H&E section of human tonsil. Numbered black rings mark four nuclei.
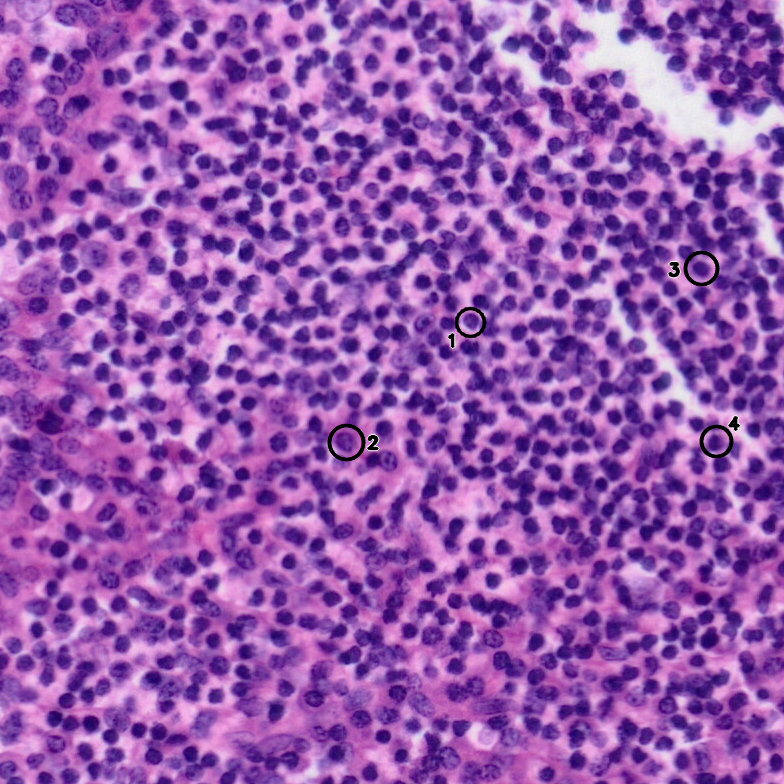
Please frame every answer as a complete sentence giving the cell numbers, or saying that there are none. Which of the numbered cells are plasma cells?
Cell 2 represents a plasma cell, and no other numbered cell does.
